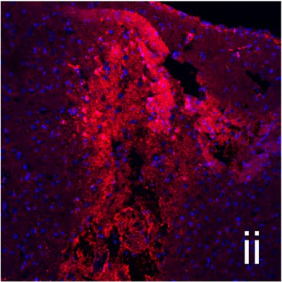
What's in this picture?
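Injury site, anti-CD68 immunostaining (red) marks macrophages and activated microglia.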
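Within and beside the band are dark, empty gaps where tissue is torn or lost. Small blue nuclei are scattered evenly across the surrounding tissue, which carries only a faint, diffuse red background, so the dense red cells clearly mark the damaged zone.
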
